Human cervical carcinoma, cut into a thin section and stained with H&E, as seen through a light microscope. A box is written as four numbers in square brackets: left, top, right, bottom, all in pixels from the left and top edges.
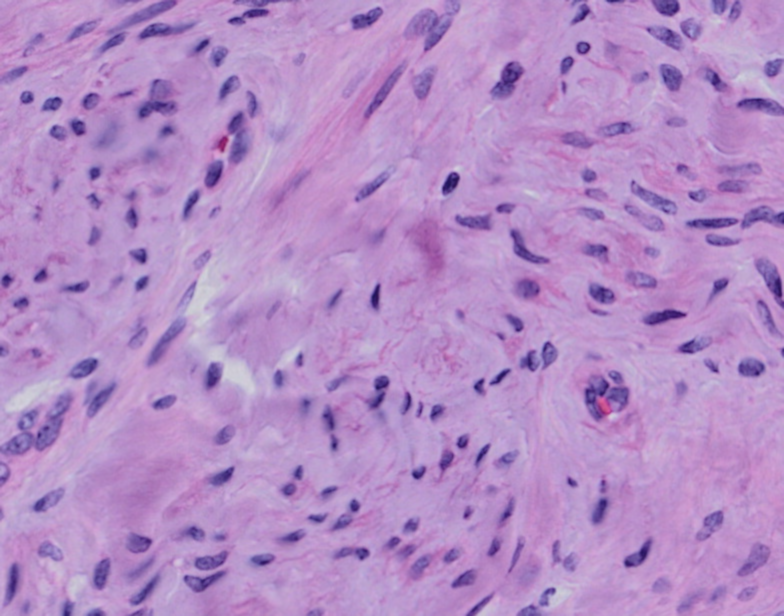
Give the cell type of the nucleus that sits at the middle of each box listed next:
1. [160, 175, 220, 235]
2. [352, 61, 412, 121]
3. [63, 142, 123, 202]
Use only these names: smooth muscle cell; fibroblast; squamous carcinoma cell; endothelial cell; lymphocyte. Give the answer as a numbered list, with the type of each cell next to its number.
1. fibroblast
2. smooth muscle cell
3. fibroblast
